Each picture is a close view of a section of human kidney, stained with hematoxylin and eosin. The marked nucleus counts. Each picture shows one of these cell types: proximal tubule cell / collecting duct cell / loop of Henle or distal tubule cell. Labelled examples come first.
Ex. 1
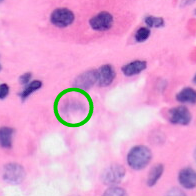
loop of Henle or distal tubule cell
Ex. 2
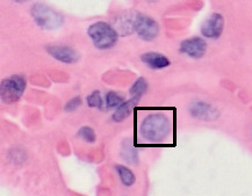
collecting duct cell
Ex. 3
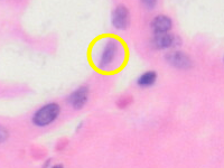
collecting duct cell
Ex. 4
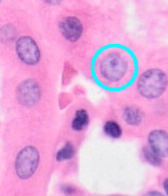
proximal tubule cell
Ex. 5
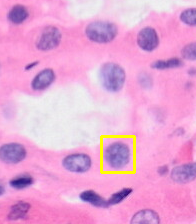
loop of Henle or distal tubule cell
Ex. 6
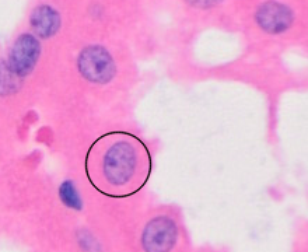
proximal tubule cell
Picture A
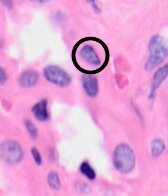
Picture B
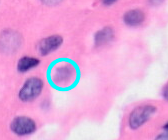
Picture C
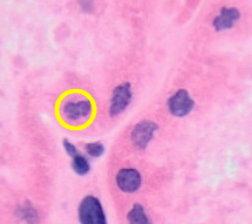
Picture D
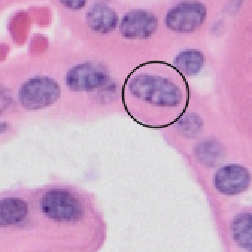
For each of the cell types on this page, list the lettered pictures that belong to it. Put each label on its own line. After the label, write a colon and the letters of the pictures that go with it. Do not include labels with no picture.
proximal tubule cell: C
collecting duct cell: A, D
loop of Henle or distal tubule cell: B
